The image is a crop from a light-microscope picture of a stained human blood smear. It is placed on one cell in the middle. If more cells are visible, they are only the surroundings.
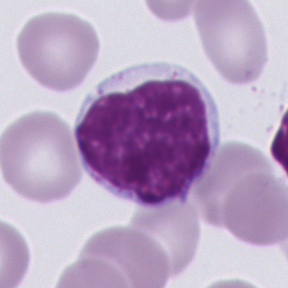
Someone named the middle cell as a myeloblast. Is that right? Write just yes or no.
no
